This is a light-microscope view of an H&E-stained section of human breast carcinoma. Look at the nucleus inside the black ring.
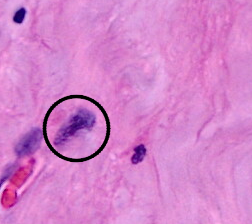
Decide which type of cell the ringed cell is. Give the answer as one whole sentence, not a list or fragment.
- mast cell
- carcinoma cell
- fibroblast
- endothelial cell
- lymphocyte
The cell type of the ringed cell is that of a fibroblast.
